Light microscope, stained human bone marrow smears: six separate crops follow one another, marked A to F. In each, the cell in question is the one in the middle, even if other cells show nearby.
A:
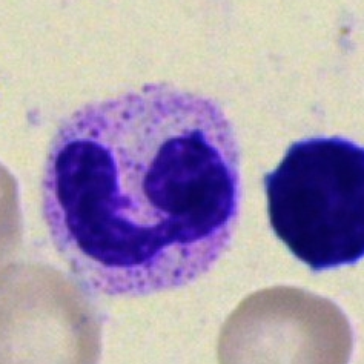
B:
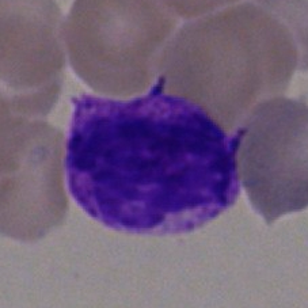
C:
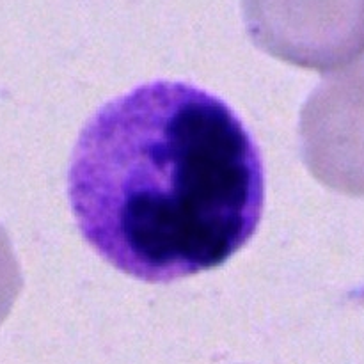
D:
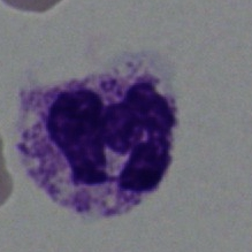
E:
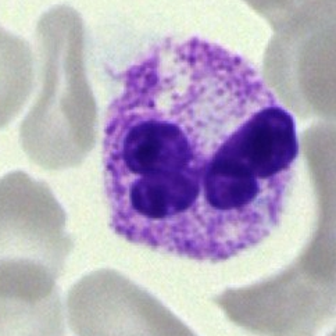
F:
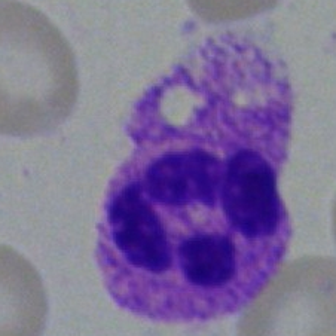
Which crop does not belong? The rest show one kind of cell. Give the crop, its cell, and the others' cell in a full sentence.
All the crops show segmented neutrophils, barring crop B, which is a basophil.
